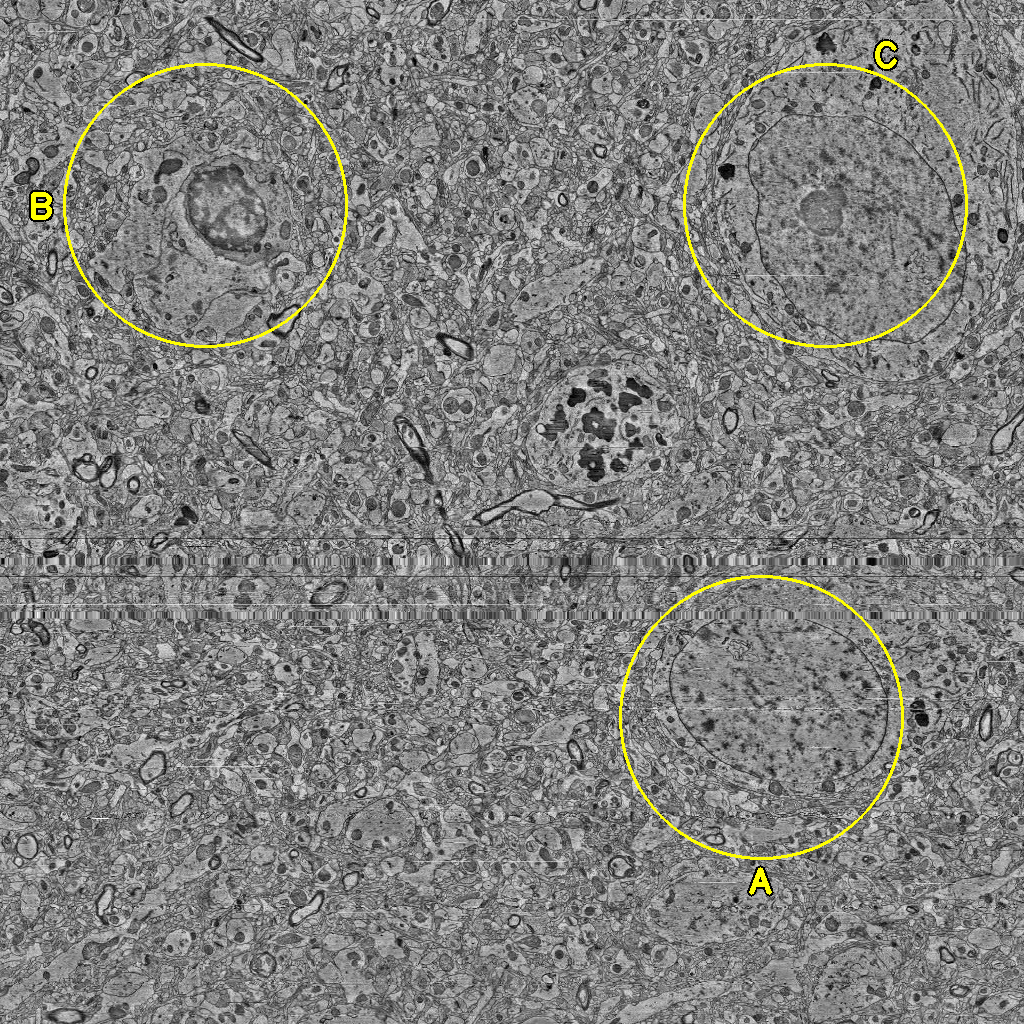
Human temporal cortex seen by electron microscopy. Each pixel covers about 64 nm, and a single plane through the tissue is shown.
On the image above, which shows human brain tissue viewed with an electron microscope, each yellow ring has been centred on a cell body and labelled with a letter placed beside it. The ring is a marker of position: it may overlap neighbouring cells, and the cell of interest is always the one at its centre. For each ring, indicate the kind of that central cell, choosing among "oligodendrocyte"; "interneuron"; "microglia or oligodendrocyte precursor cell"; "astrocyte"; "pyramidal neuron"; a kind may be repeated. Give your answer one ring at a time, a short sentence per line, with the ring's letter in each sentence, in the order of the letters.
Ring A shows a pyramidal neuron at its centre.
Ring B shows an oligodendrocyte at its centre.
Ring C shows a pyramidal neuron at its centre.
